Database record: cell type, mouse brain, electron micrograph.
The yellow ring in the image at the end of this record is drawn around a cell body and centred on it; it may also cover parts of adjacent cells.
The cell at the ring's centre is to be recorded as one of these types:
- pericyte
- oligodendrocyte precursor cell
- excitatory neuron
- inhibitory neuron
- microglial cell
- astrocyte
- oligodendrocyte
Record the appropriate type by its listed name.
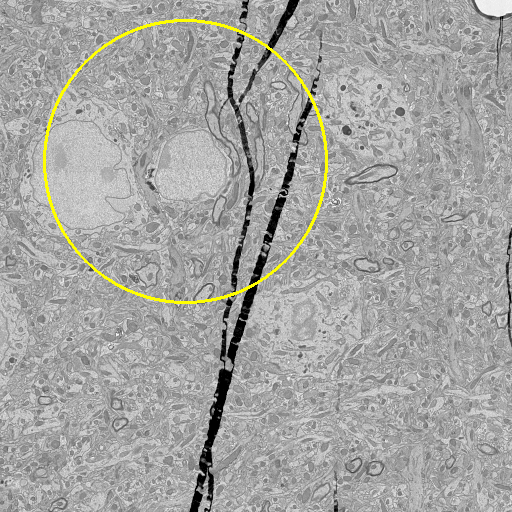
oligodendrocyte precursor cell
